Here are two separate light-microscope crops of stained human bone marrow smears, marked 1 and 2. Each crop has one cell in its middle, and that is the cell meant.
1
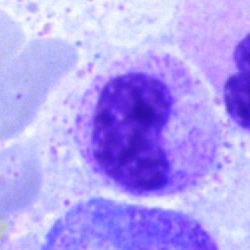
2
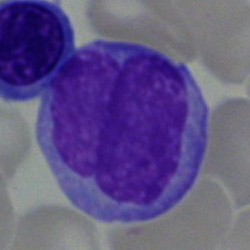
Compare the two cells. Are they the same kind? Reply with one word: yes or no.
no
